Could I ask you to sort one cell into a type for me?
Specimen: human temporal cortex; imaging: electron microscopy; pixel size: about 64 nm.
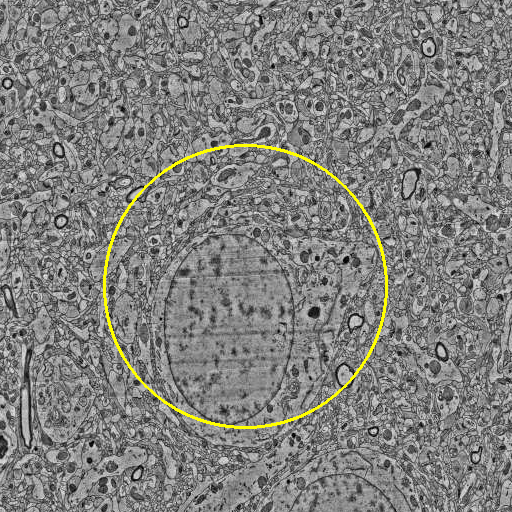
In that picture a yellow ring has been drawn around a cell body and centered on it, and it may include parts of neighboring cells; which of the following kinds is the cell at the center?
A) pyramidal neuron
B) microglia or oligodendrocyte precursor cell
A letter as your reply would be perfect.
A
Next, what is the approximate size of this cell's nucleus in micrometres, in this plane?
The nucleus measures about 12 by 8 micrometres in this plane.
